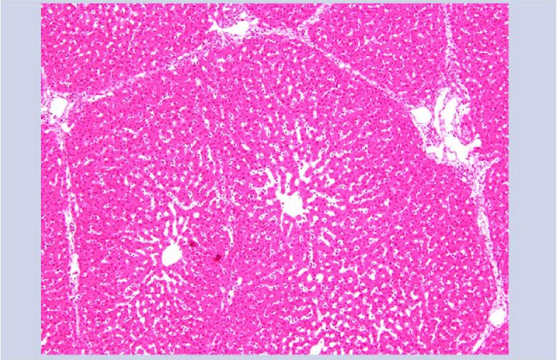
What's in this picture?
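This section of liver shows a whole lobule with its hepatocytes arranged in orderly plates. Thin pale strands of connective tissue outline the polygonal lobule, with small vessels at its corners. The pink hepatocyte plates run radially towards a central vein near the middle of the field. Narrow clear sinusoidal spaces lie between the plates, giving the lobule a regular spoke-like pattern. The cytoplasm stains evenly pink and small dark nuclei are scattered through the plates.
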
